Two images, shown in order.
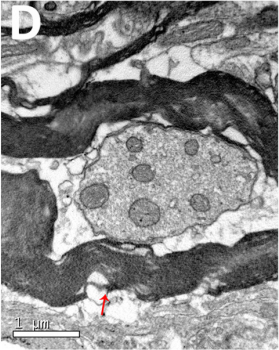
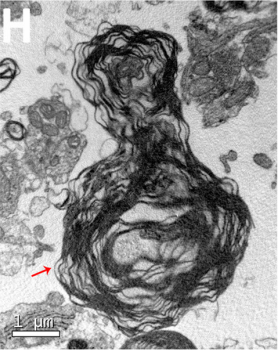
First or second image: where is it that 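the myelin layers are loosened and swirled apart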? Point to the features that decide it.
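Second image: a large mass of separated, wavy dark lamellae with no compact ring.
Conclusion: the second image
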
